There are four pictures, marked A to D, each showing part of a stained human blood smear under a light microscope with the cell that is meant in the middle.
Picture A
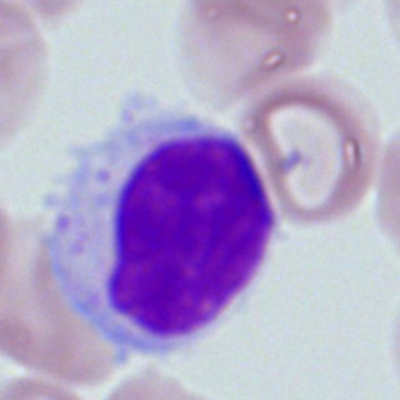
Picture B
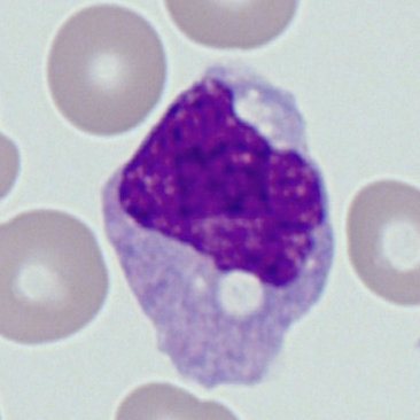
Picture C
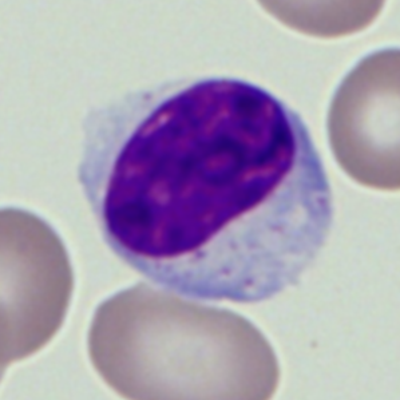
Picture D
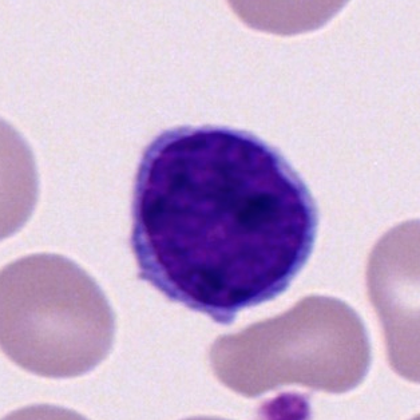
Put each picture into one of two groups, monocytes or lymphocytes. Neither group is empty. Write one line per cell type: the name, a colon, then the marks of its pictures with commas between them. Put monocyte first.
monocyte: B
lymphocyte: A, C, D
